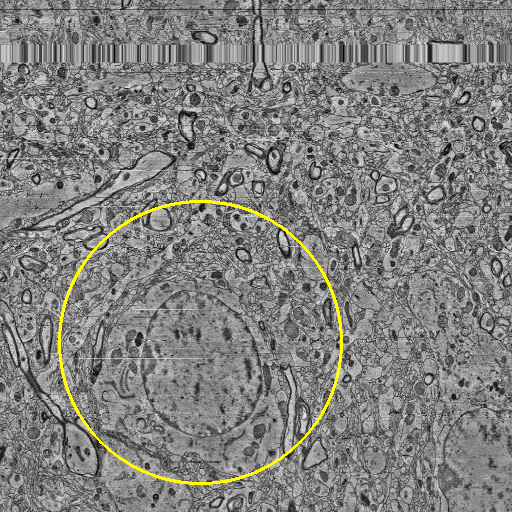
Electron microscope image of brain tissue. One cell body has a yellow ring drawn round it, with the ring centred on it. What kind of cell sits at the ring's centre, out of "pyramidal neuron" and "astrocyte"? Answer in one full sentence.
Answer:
It is an astrocyte whose cell body sits at the centre of the yellow ring.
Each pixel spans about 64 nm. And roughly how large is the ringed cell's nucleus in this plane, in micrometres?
About 10 by 8 micrometers, in this plane.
